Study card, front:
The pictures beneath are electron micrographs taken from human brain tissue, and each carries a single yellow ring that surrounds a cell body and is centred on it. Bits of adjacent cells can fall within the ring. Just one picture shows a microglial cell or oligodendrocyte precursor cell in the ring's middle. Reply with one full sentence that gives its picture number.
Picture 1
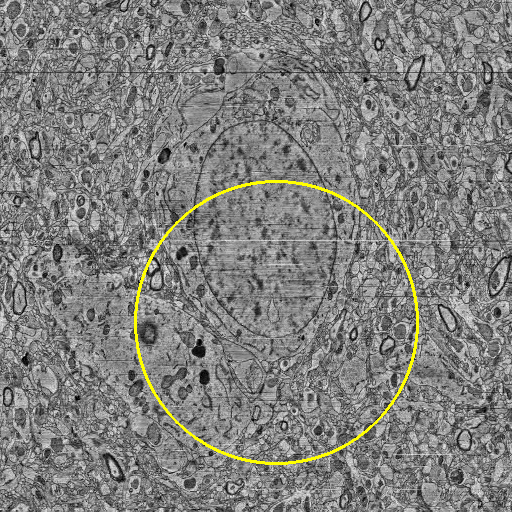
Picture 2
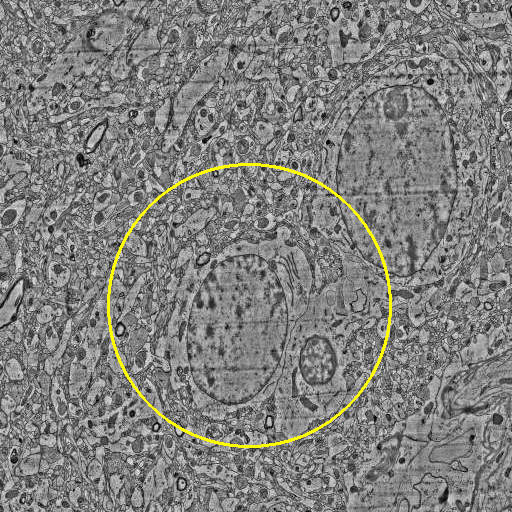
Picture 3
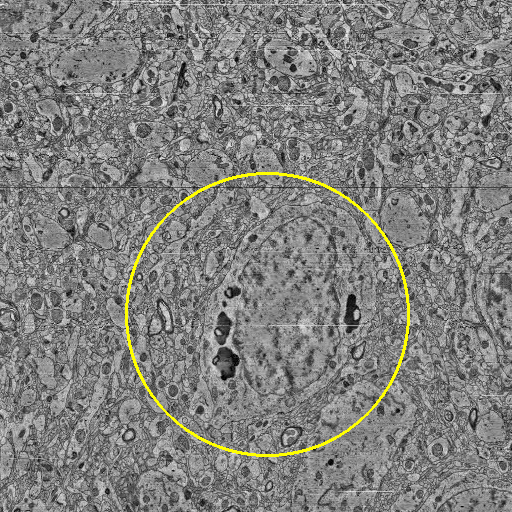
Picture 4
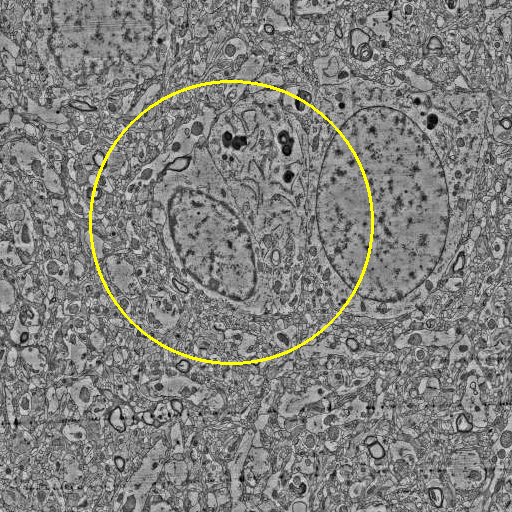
Picture 4 is the one whose ring has the requested cell at its centre.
